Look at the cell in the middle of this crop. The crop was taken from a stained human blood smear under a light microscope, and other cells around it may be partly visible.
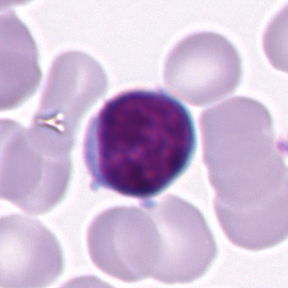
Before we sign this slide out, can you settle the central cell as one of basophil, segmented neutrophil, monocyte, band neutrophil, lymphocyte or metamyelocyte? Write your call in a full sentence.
The cell of interest, in the center, is a lymphocyte.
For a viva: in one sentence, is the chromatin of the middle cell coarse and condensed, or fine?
If you check the nucleus, you will find the chromatin coarsely clumped.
